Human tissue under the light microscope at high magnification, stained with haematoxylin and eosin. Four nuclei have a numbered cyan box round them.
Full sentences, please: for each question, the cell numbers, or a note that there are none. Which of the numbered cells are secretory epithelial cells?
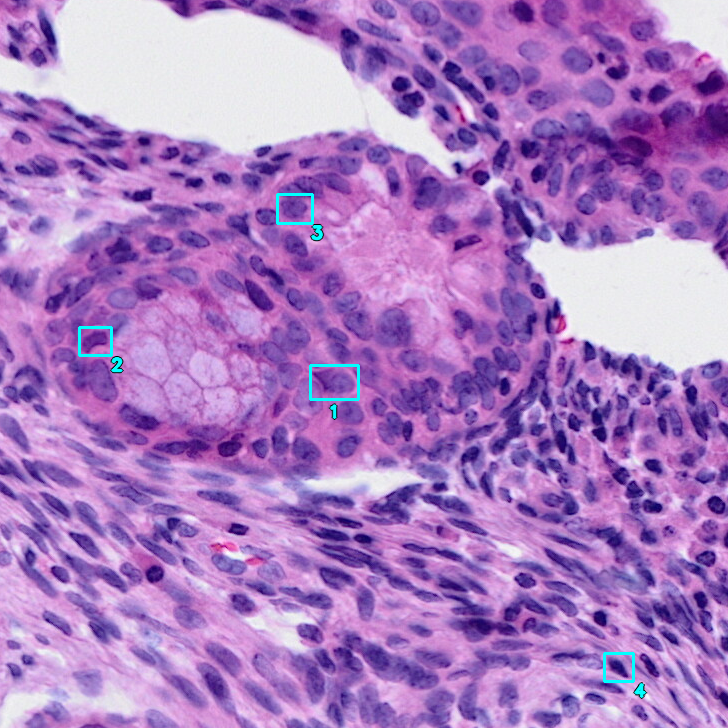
Cells 1, 2 and 3 share one type; they are secretory epithelial cells.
